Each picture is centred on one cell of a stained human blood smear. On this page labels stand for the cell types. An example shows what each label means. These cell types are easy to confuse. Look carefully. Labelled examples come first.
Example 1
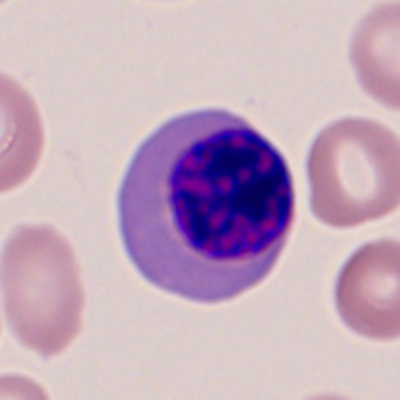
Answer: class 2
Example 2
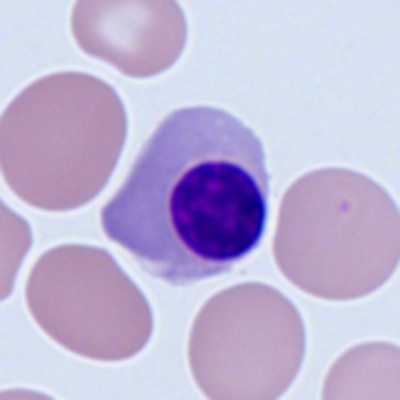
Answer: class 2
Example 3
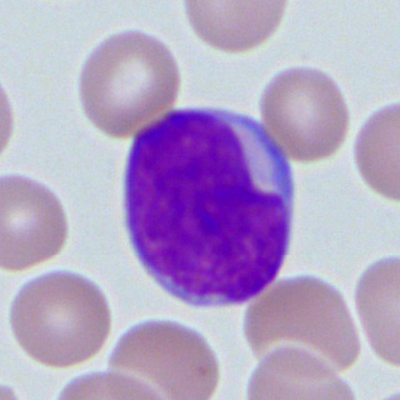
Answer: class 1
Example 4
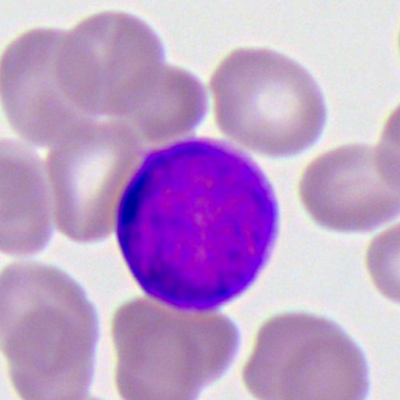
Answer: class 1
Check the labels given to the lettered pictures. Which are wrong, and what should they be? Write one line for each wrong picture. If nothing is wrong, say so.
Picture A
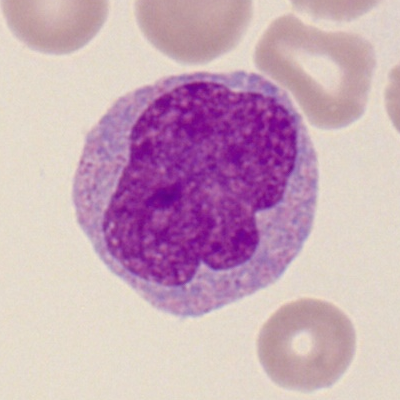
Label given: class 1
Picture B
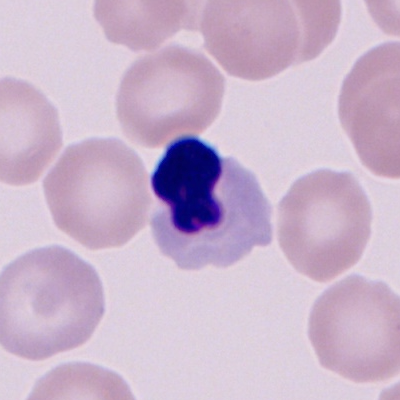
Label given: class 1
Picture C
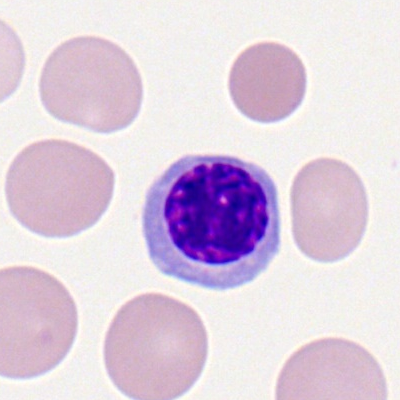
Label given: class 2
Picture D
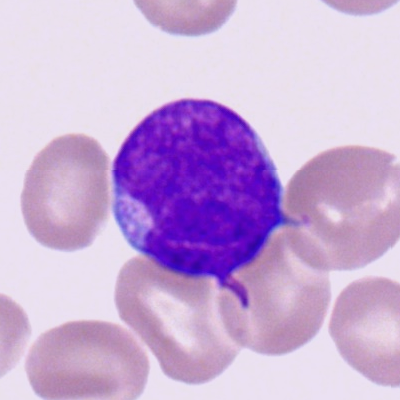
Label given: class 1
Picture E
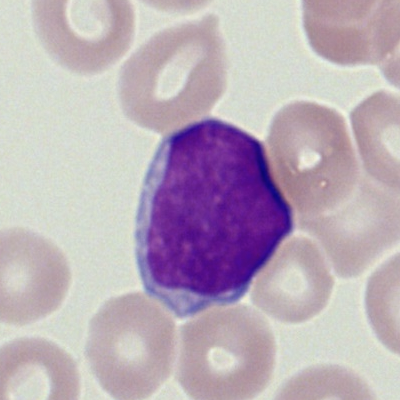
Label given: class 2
Wrong: B (class 1); correct: class 2
Wrong: E (class 2); correct: class 1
